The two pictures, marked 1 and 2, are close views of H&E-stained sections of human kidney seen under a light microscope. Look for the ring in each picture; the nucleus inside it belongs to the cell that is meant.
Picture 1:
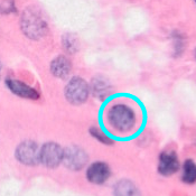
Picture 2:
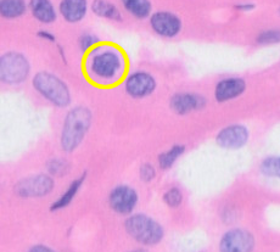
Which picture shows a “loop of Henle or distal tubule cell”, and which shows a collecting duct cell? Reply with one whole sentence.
The cell in picture 1 is a “loop of Henle or distal tubule cell”, and the one in picture 2 is a collecting duct cell.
